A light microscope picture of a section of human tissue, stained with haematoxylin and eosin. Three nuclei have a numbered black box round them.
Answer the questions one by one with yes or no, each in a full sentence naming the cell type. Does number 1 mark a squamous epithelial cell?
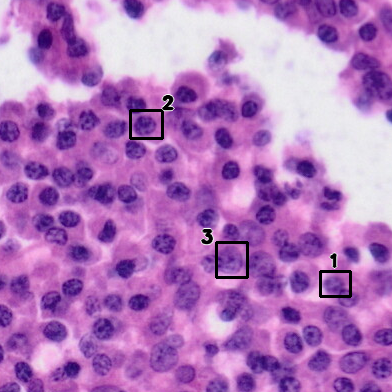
No, the cell tagged 1 is a plasma cell, and not a squamous epithelial cell.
